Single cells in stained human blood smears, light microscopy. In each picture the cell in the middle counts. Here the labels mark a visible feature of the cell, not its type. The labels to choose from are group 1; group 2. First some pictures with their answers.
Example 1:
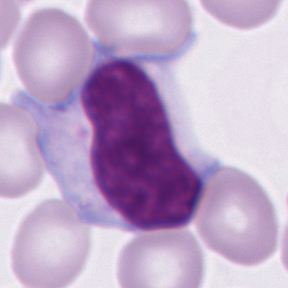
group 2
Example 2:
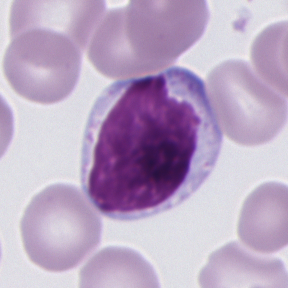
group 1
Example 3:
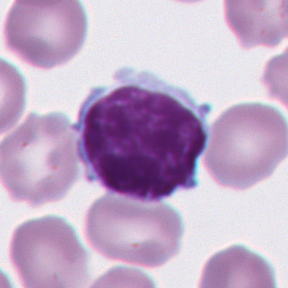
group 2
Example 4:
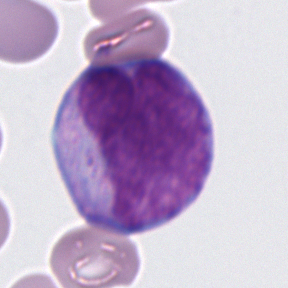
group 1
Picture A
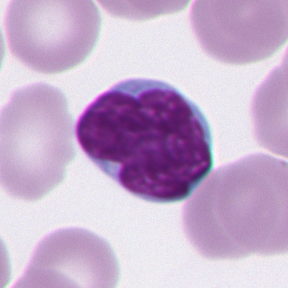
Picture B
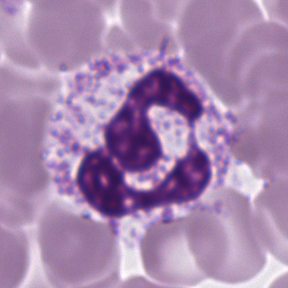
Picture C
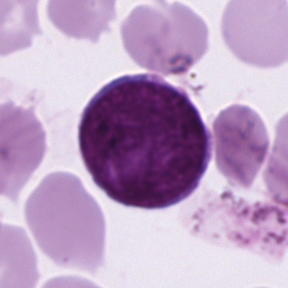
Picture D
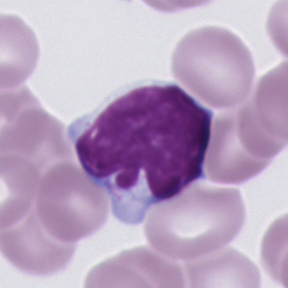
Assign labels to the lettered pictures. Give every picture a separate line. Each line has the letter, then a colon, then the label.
A: group 1
B: group 2
C: group 1
D: group 2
